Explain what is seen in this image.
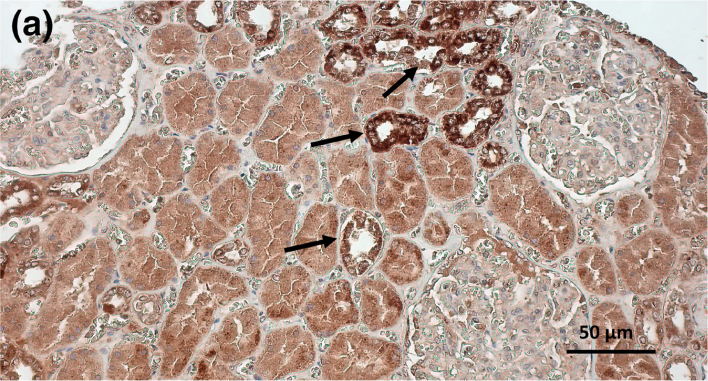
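Renal cortex with tubules cut in cross section, each lined by a single layer of cuboidal epithelial cells around a small lumen, lying between glomeruli with their capillary tufts. The tubular epithelium is brown throughout, and a group of tubules with wider lumens is stained much darker brown than the rest. Thin pale interstitium separates the tubules.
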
